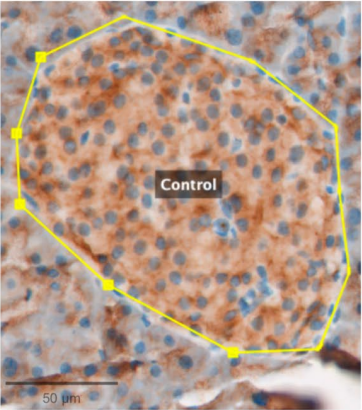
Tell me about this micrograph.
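A rounded pancreatic islet of Langerhans without surrounding immune cells. Its cells are closely packed, with round pale-blue nuclei and brown-stained cytoplasm, and the islet is bordered by exocrine tissue.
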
